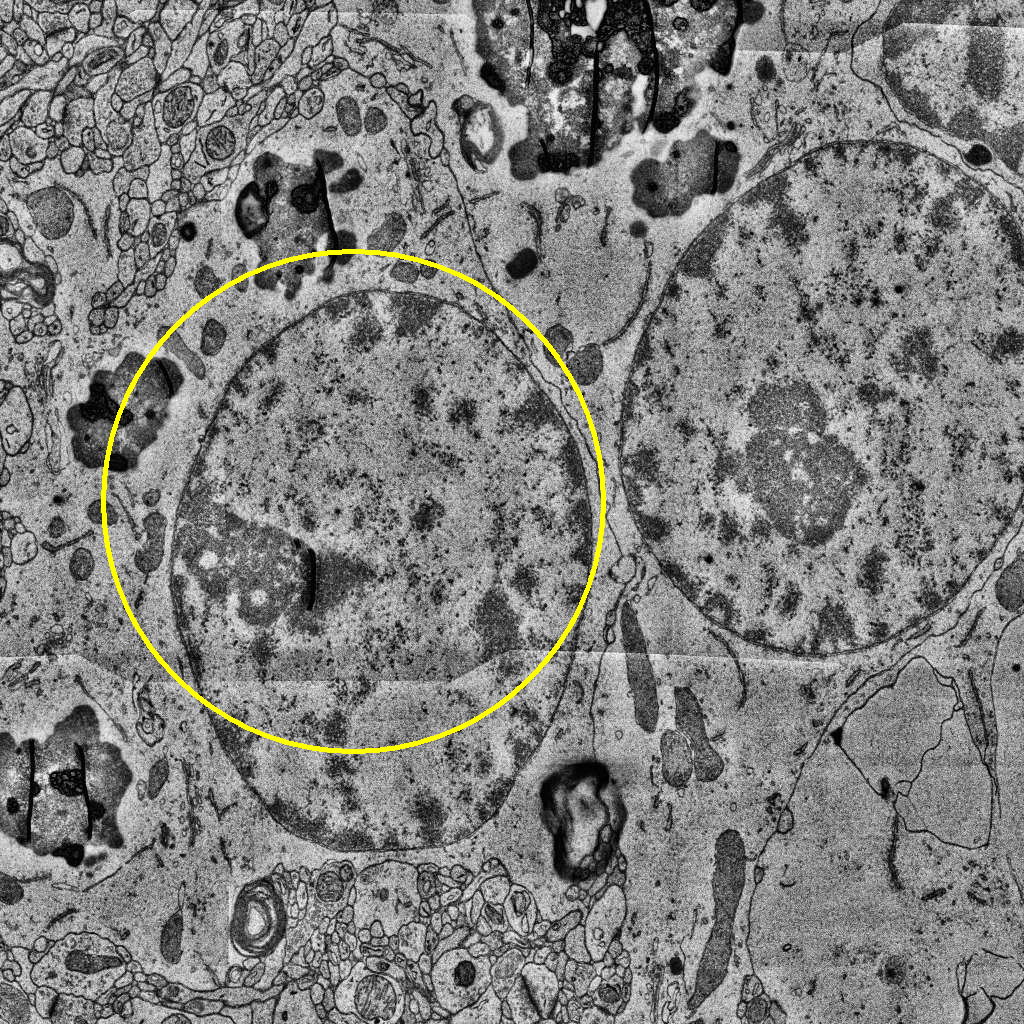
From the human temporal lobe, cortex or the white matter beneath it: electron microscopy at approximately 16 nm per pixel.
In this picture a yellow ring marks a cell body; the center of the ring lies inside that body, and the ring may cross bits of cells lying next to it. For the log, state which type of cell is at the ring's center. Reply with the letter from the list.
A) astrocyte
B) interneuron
A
